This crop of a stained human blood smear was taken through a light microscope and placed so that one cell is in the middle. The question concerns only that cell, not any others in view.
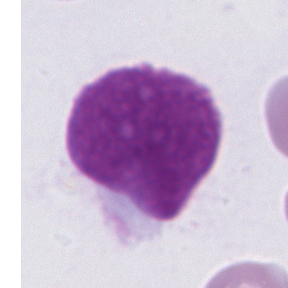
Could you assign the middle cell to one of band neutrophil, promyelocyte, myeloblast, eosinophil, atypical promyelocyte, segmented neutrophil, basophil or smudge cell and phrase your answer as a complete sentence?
The centrally positioned cell in the crop represents a smudge cell.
